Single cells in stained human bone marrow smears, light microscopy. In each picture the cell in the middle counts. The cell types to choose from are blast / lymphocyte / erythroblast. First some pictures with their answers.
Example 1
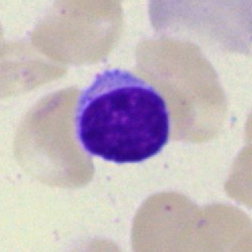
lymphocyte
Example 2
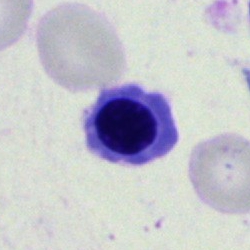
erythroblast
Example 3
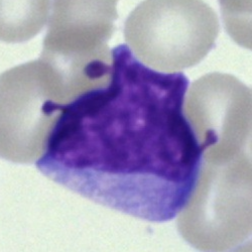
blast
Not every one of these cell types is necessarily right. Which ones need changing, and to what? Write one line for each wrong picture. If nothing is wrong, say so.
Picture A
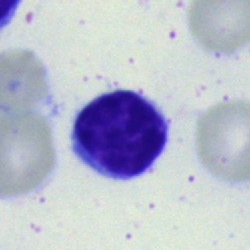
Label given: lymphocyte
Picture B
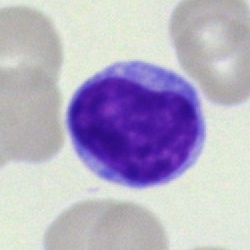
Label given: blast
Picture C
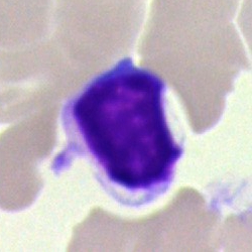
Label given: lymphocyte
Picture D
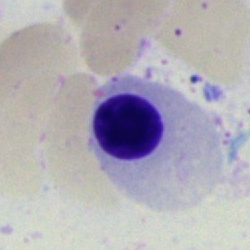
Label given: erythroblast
B is labelled blast; correct label: lymphocyte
